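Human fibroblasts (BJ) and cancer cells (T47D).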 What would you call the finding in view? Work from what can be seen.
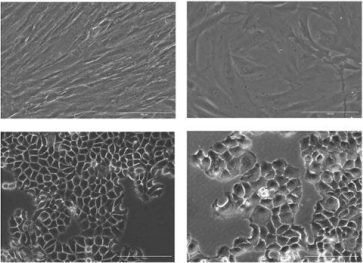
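Flattened and enlarged morphology. Cells in the right-hand images are larger and more spread out than those in the left-hand images. The fibroblasts on the right are broad and flat rather than slender and spindle-shaped.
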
